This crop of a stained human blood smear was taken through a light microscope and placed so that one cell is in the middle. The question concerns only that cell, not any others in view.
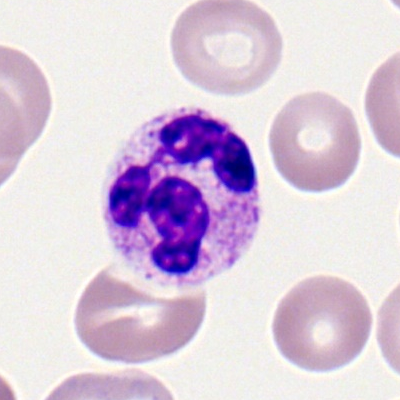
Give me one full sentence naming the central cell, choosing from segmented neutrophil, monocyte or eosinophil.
In short, the cell at the center is a segmented neutrophil.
